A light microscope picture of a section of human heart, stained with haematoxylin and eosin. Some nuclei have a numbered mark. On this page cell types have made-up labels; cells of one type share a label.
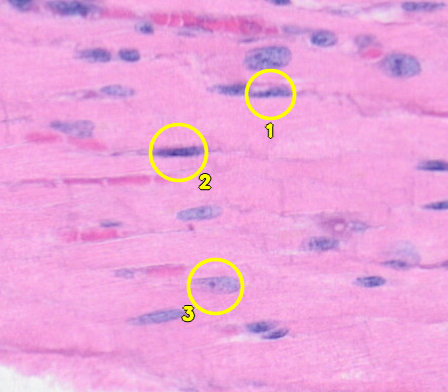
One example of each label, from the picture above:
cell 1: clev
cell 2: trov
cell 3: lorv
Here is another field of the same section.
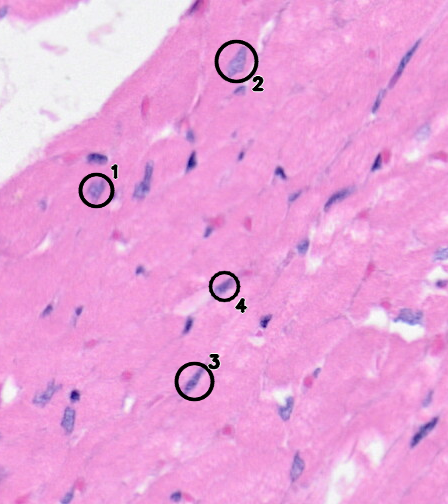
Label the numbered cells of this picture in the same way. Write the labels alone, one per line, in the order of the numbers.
lorv
lorv
clev
clev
